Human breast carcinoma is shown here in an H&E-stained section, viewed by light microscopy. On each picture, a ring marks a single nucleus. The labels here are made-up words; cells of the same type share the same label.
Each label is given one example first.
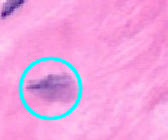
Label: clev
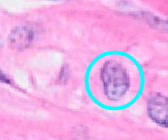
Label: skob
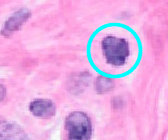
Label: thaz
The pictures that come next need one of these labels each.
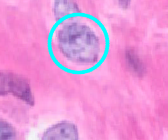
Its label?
skob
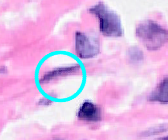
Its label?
clev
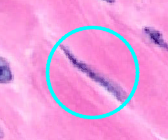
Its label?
clev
